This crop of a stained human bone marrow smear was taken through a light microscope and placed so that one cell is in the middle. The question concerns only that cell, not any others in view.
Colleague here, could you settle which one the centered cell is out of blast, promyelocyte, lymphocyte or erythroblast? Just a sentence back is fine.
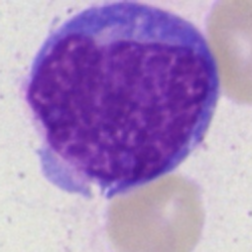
In this smear crop, the middle cell is a blast.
